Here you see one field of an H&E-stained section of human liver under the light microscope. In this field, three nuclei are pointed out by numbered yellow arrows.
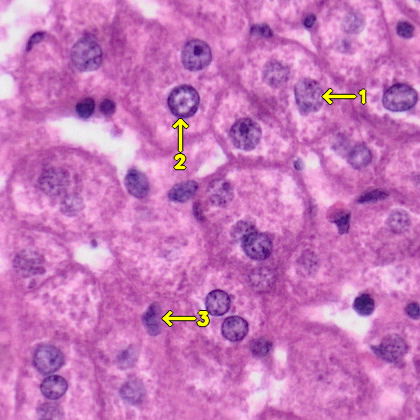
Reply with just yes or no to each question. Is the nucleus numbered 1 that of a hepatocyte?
yes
